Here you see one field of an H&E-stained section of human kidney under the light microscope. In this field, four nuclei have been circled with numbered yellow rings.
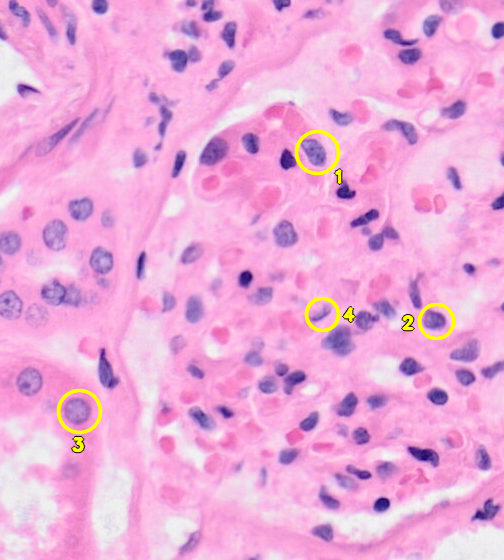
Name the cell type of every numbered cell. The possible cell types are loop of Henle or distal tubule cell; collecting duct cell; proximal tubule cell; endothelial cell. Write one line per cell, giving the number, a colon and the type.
1: endothelial cell
2: endothelial cell
3: proximal tubule cell
4: endothelial cell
